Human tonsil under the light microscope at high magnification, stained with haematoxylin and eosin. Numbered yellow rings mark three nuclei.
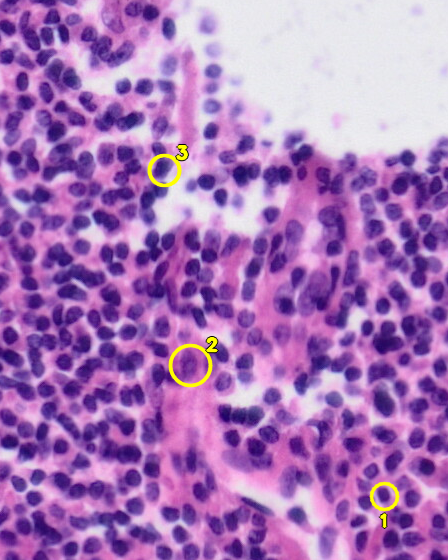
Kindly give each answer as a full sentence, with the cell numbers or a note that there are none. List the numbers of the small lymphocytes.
The cells marked by the numbers 1 and 3 are small lymphocytes.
